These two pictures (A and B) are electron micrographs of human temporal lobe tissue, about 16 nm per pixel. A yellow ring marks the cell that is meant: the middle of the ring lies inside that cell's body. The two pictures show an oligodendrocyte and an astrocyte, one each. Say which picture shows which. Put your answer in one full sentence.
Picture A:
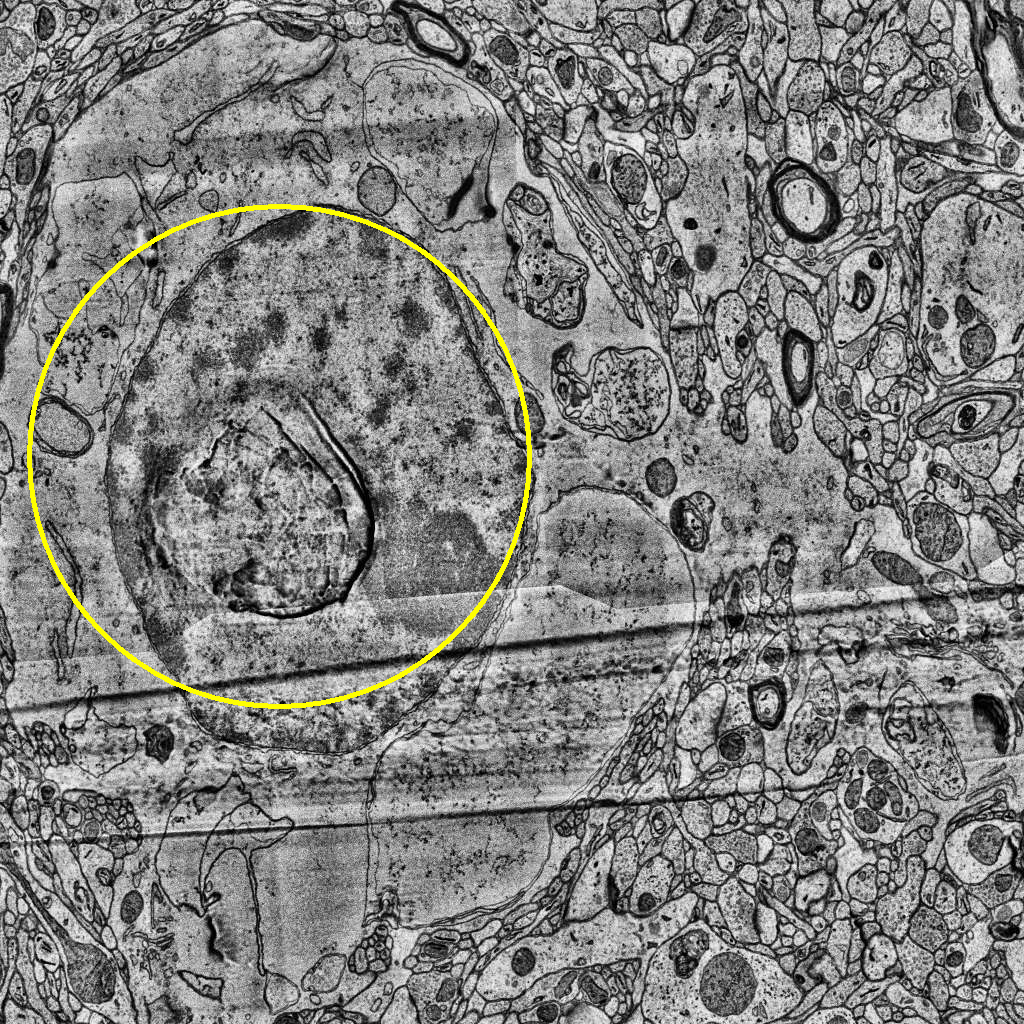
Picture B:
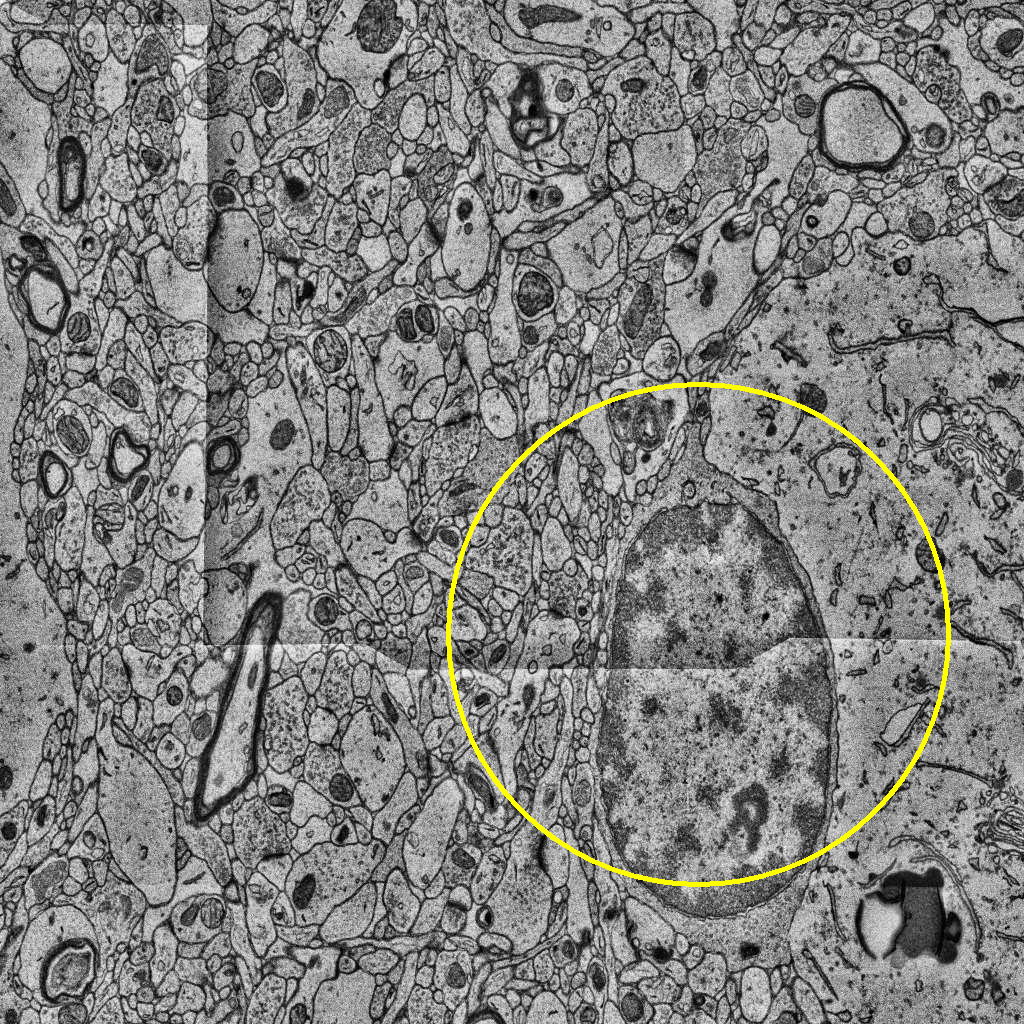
Picture B shows an oligodendrocyte, while picture A shows an astrocyte.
